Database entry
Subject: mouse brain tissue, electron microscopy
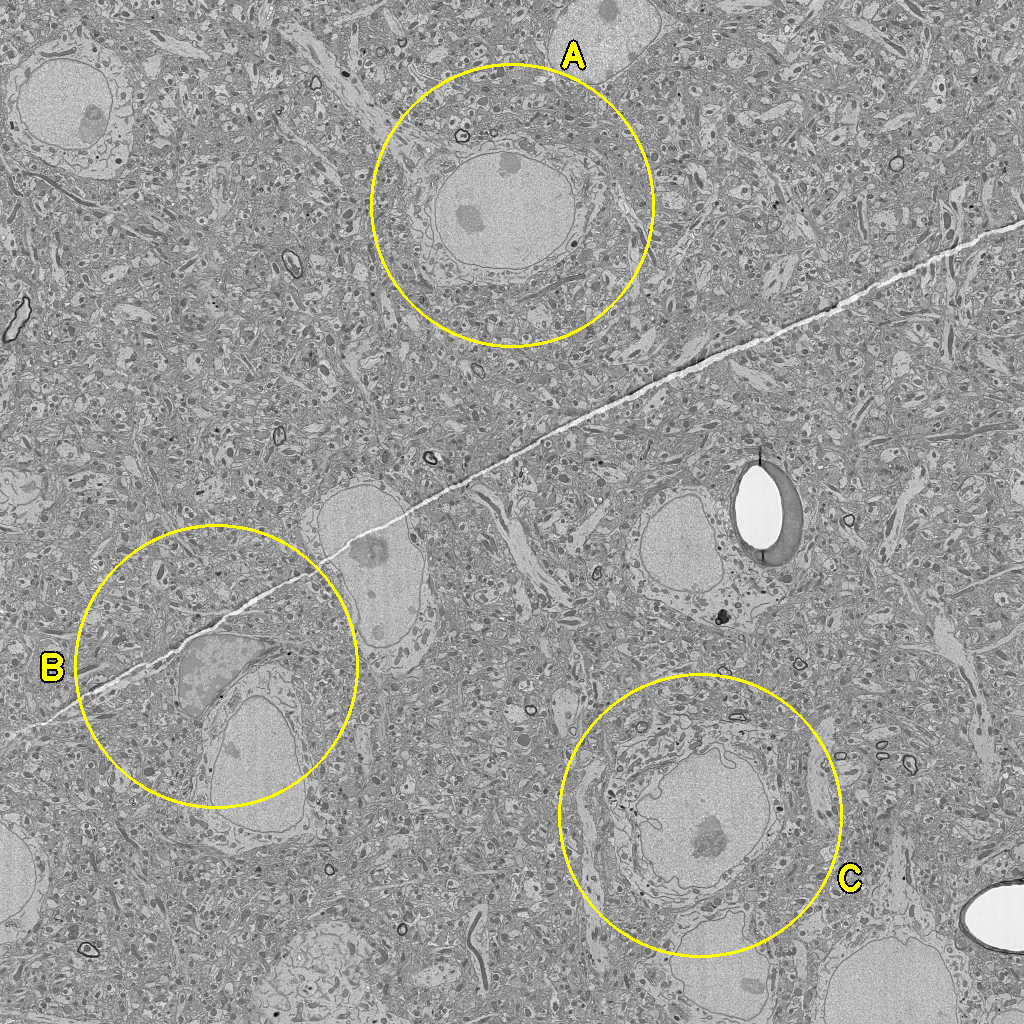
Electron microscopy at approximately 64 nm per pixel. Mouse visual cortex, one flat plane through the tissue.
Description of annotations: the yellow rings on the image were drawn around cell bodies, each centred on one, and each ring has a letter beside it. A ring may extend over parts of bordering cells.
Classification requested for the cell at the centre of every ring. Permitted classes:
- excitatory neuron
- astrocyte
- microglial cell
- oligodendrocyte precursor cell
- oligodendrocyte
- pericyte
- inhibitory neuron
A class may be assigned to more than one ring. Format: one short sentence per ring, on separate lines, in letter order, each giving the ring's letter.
The cell body at the centre of ring A is an excitatory neuron.
The cell body at the centre of ring B is a microglial cell.
The cell body at the centre of ring C is an inhibitory neuron.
